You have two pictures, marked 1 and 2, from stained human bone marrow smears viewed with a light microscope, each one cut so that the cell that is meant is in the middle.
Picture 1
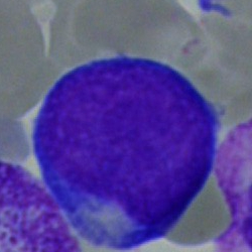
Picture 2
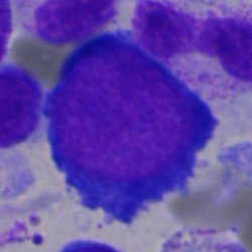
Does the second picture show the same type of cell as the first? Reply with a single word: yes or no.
yes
